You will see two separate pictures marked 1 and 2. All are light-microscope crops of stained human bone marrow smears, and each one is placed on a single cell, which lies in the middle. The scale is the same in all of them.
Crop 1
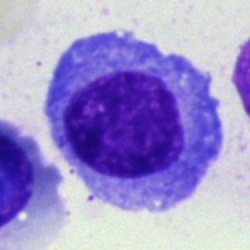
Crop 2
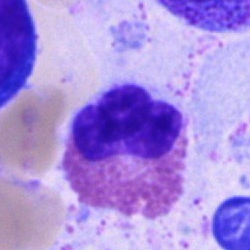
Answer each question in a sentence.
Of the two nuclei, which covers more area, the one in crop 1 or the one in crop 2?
It is the nucleus in crop 1, about 1.5 times as large in area as the one in crop 2.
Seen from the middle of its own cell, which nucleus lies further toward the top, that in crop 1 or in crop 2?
In crop 2 the nucleus is shifted more toward the top.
